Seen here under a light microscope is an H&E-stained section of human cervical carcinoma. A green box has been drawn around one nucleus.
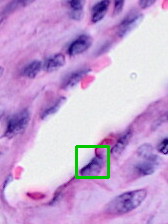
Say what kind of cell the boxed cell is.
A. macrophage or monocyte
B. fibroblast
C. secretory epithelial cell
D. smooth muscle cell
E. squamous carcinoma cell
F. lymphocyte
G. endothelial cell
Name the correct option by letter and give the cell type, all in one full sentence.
With the boxed cell being an endothelial cell, option G is correct.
